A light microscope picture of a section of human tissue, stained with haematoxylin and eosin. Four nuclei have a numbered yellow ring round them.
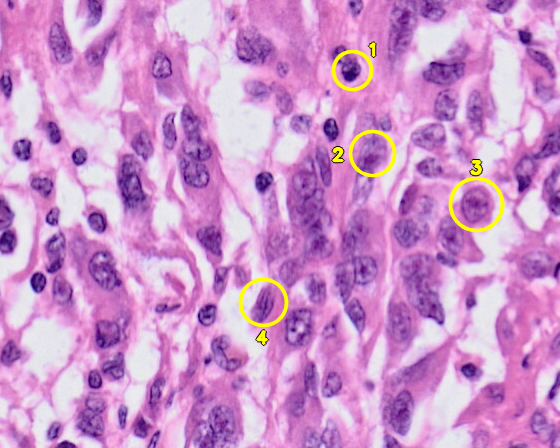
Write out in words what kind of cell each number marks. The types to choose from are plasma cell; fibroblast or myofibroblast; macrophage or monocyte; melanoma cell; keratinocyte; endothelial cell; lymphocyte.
Cell 1 is a lymphocyte, cell 2 is a melanoma cell, cell 3 is a melanoma cell and cell 4 is a melanoma cell.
